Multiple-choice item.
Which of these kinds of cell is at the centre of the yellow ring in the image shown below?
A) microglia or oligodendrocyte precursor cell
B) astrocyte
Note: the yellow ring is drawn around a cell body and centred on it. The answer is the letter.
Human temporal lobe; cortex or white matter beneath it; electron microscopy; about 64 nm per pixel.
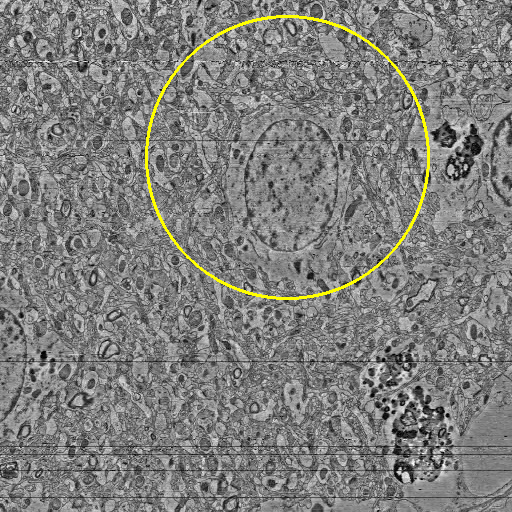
B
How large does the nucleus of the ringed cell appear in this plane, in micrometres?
The ringed cell's nucleus is about 9 micrometres long and 6 micrometres wide in this plane.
